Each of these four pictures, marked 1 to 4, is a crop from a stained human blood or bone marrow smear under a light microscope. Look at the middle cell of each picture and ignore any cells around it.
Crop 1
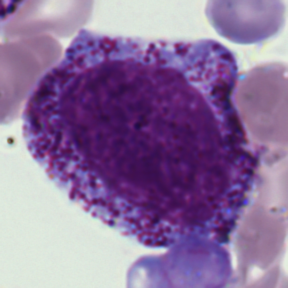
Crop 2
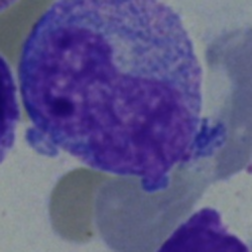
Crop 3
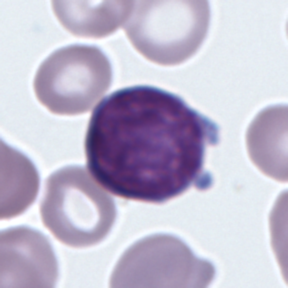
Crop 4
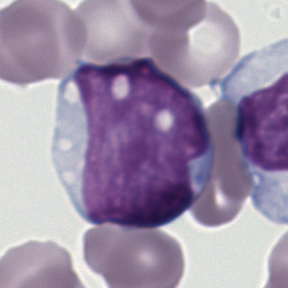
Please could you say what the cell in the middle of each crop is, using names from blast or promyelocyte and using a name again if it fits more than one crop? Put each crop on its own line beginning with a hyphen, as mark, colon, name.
- 1: promyelocyte
- 2: promyelocyte
- 3: blast
- 4: blast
